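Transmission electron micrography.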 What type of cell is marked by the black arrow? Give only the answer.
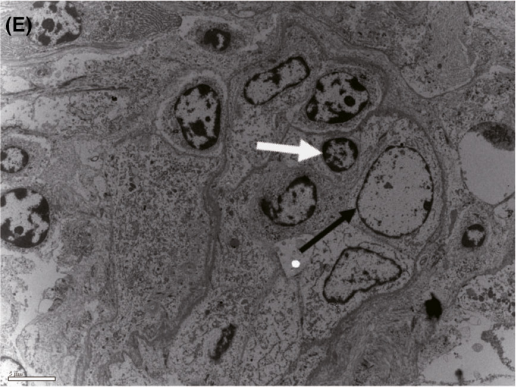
Endothelial cells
